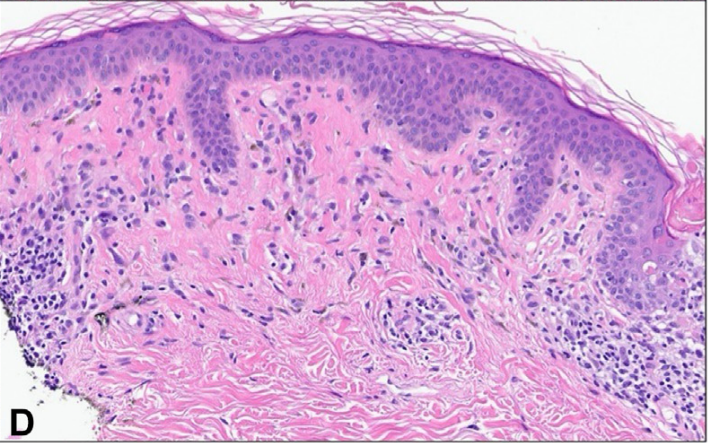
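Here the epidermis sits above a superficial dermis of pink collagen. In the dermis, small dark lymphocytes and larger pale histiocytes are scattered between the fibres and gather around small vessels. A few cells carry brown granular pigment in their cytoplasm, the pigment-laden macrophages. The cornified layer on top forms a loose, lacy pink meshwork.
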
